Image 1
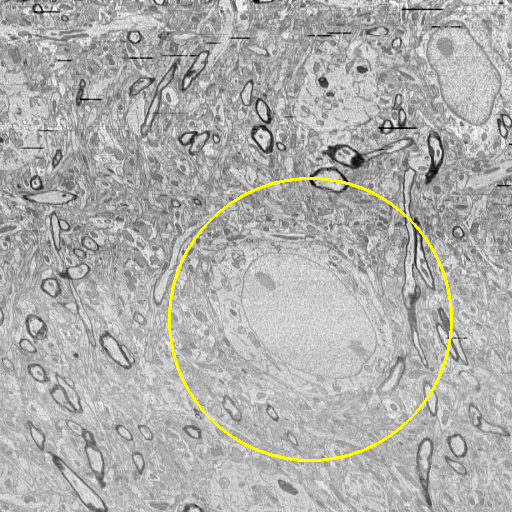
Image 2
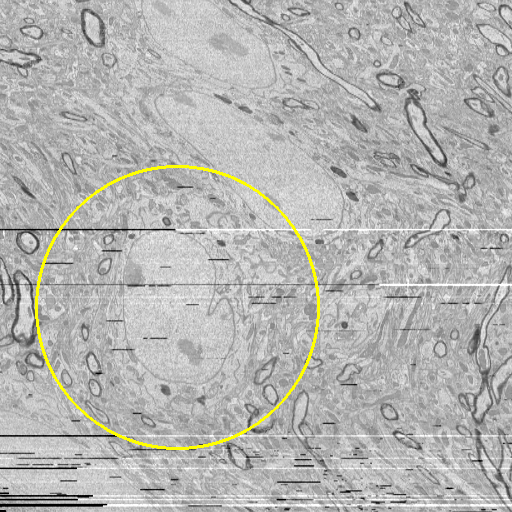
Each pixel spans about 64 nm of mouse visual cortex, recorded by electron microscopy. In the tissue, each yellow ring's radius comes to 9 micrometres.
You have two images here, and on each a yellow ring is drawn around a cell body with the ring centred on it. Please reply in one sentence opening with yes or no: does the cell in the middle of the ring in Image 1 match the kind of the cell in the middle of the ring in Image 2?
Yes, the two images show cells of one kind at the centres of their rings.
